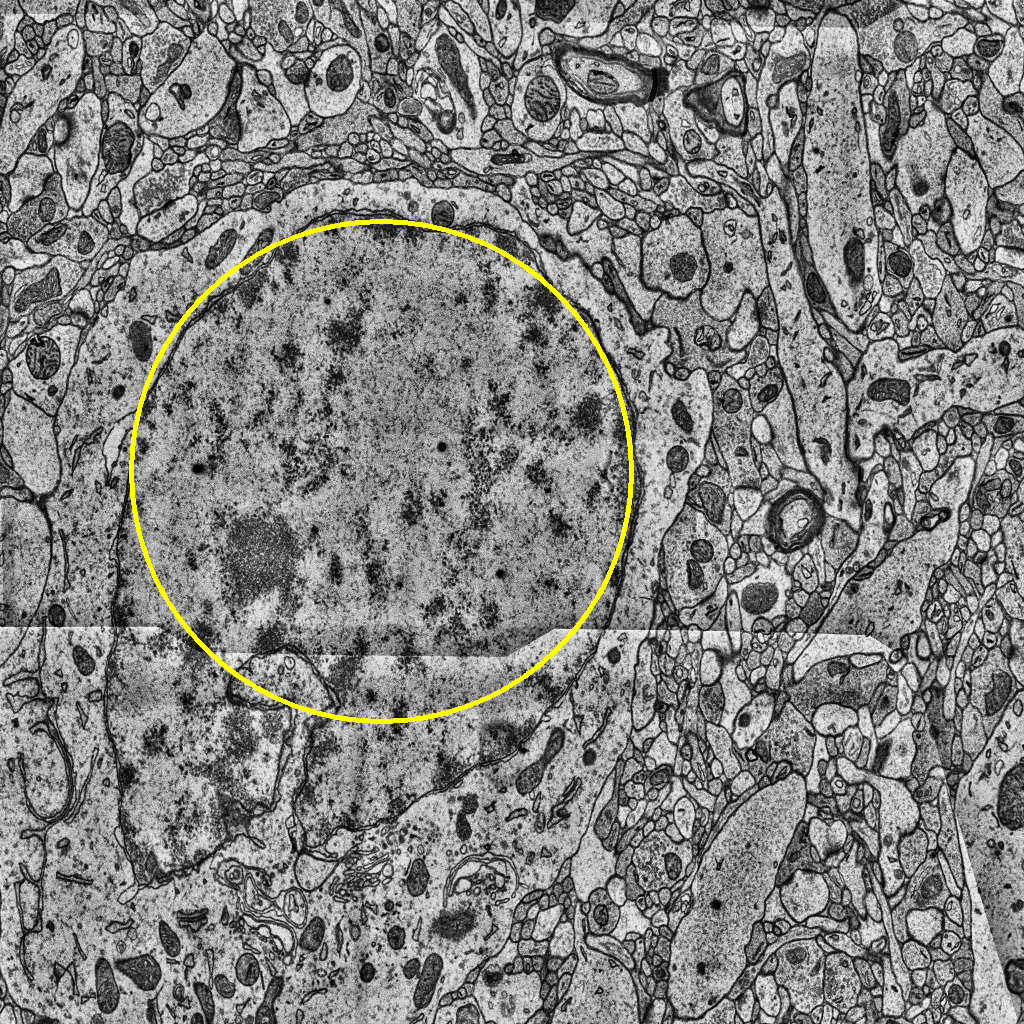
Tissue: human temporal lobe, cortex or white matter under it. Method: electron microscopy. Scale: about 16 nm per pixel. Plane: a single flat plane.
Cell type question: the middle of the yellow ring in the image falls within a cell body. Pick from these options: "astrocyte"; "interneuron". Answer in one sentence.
The cell body at the center of the ring belongs to an interneuron.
